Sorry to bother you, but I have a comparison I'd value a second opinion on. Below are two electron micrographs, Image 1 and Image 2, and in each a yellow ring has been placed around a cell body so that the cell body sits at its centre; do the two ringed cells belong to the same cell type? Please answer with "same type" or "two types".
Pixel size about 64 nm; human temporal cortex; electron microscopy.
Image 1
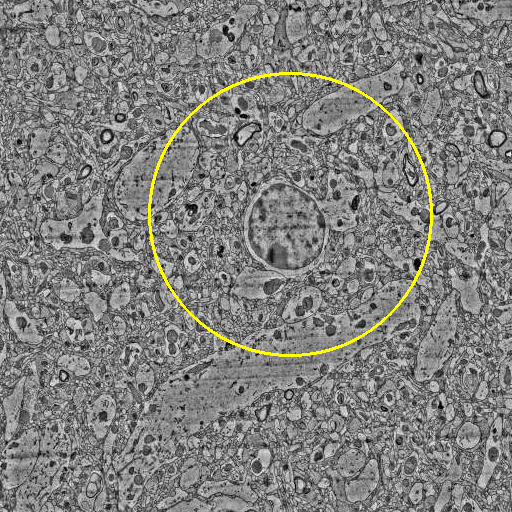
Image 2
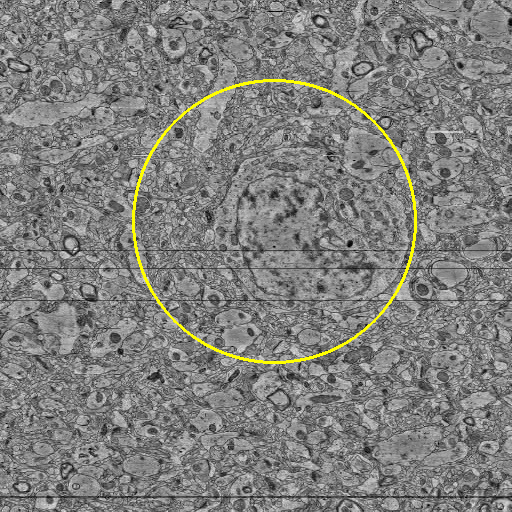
two types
